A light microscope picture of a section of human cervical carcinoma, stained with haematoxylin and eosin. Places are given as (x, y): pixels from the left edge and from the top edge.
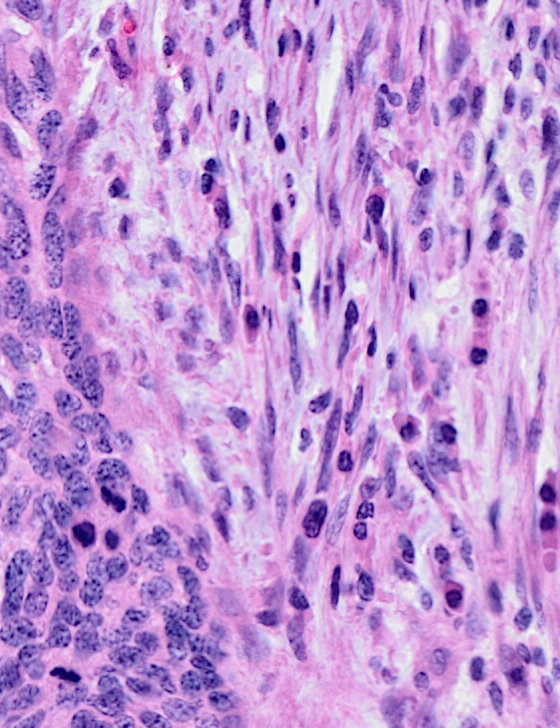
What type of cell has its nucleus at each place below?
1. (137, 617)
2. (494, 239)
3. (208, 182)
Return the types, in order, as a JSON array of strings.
["squamous carcinoma cell", "lymphocyte", "lymphocyte"]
